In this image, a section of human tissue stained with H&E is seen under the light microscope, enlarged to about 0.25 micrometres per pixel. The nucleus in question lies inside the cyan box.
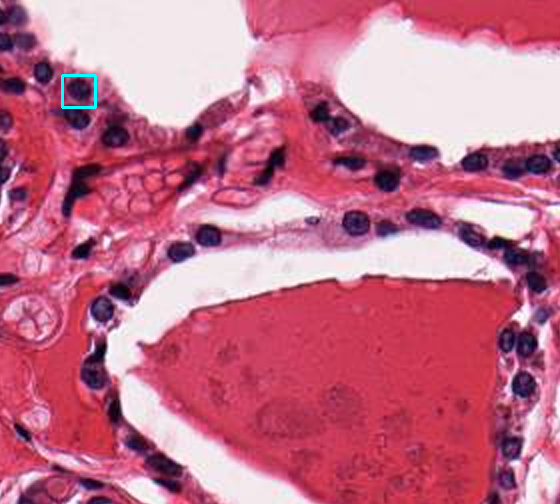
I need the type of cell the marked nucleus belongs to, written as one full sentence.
The marked nucleus is the nucleus of a thyroid follicular cell.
